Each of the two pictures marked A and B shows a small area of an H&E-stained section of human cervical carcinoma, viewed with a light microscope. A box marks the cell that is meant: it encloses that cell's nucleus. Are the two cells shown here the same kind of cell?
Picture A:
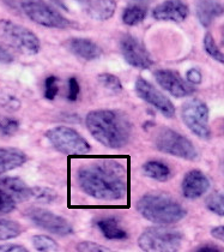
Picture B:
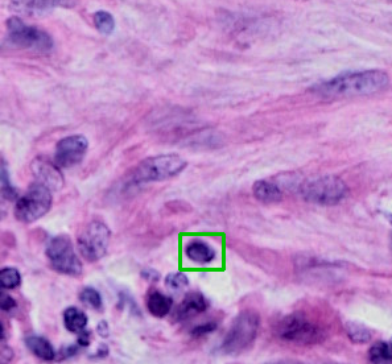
no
